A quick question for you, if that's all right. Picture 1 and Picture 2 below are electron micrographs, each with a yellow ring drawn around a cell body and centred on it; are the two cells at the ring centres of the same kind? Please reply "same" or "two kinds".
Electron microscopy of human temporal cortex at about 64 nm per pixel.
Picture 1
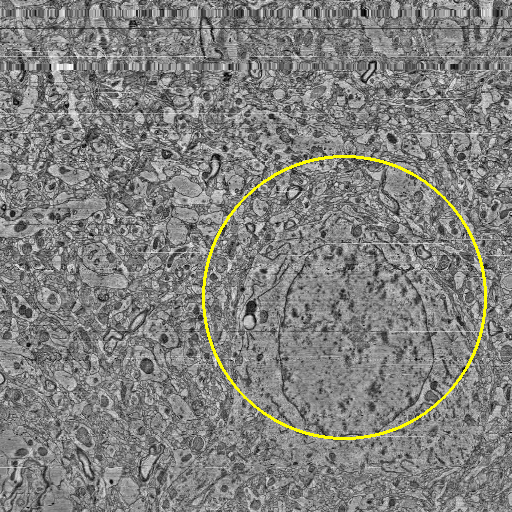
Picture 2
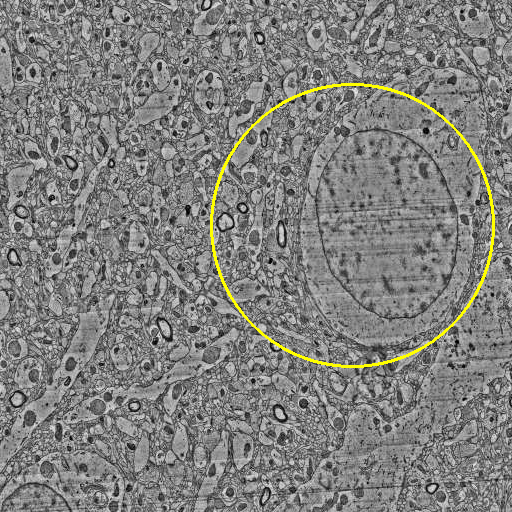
same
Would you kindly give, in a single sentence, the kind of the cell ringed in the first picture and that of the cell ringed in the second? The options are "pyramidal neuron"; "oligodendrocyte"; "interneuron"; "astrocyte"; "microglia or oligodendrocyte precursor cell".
The second cell is a pyramidal neuron, just as the first is.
